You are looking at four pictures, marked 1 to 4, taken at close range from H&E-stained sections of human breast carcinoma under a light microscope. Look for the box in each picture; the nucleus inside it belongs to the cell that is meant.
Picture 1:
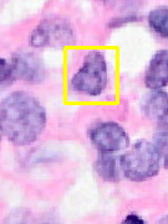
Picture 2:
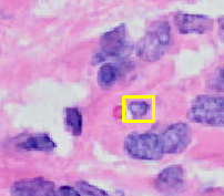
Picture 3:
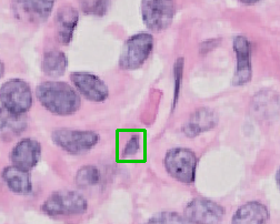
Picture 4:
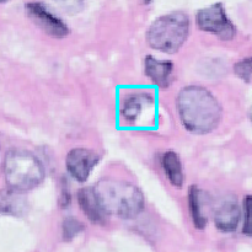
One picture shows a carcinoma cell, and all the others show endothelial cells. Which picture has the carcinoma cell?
1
